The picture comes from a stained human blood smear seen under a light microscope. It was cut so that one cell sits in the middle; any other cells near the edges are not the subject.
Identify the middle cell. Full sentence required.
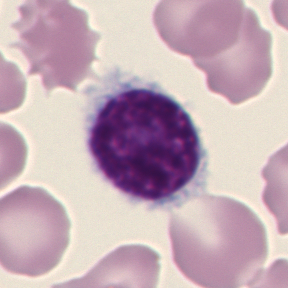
In short, the cell at the center is a hairy cell.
